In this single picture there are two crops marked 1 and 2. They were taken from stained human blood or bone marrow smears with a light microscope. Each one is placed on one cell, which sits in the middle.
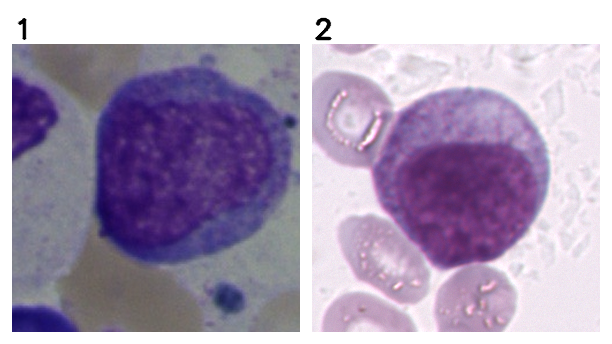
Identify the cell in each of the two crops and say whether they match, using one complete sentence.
No, the cell shown in crop 1 is a blast, and the cell shown in crop 2 is a promyelocyte.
